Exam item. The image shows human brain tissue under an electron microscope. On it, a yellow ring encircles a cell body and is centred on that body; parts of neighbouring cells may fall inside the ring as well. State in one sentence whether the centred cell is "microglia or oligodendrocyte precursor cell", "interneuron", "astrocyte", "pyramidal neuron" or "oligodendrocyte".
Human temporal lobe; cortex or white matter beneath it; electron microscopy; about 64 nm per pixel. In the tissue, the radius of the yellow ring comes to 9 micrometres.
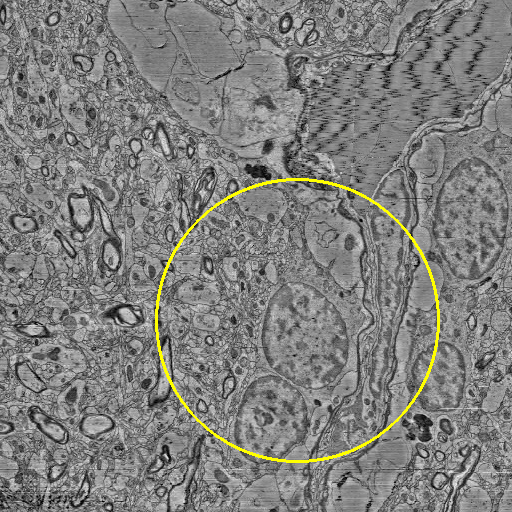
The cell body centred in the ring is an oligodendrocyte.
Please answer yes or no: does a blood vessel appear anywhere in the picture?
Yes, one appears.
